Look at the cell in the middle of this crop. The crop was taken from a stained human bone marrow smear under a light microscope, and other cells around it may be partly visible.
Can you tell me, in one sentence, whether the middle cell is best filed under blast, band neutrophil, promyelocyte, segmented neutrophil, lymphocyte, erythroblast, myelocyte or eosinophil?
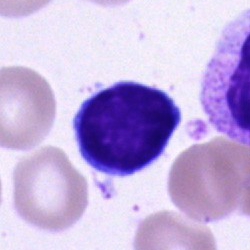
Positioned in the middle of the crop is a lymphocyte.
